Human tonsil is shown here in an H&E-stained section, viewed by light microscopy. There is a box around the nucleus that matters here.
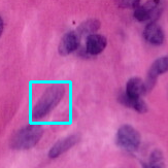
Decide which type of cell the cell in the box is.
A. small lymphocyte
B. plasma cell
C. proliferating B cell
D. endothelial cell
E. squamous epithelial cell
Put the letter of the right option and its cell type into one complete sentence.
Option D is correct here; the cell in the box is an endothelial cell.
